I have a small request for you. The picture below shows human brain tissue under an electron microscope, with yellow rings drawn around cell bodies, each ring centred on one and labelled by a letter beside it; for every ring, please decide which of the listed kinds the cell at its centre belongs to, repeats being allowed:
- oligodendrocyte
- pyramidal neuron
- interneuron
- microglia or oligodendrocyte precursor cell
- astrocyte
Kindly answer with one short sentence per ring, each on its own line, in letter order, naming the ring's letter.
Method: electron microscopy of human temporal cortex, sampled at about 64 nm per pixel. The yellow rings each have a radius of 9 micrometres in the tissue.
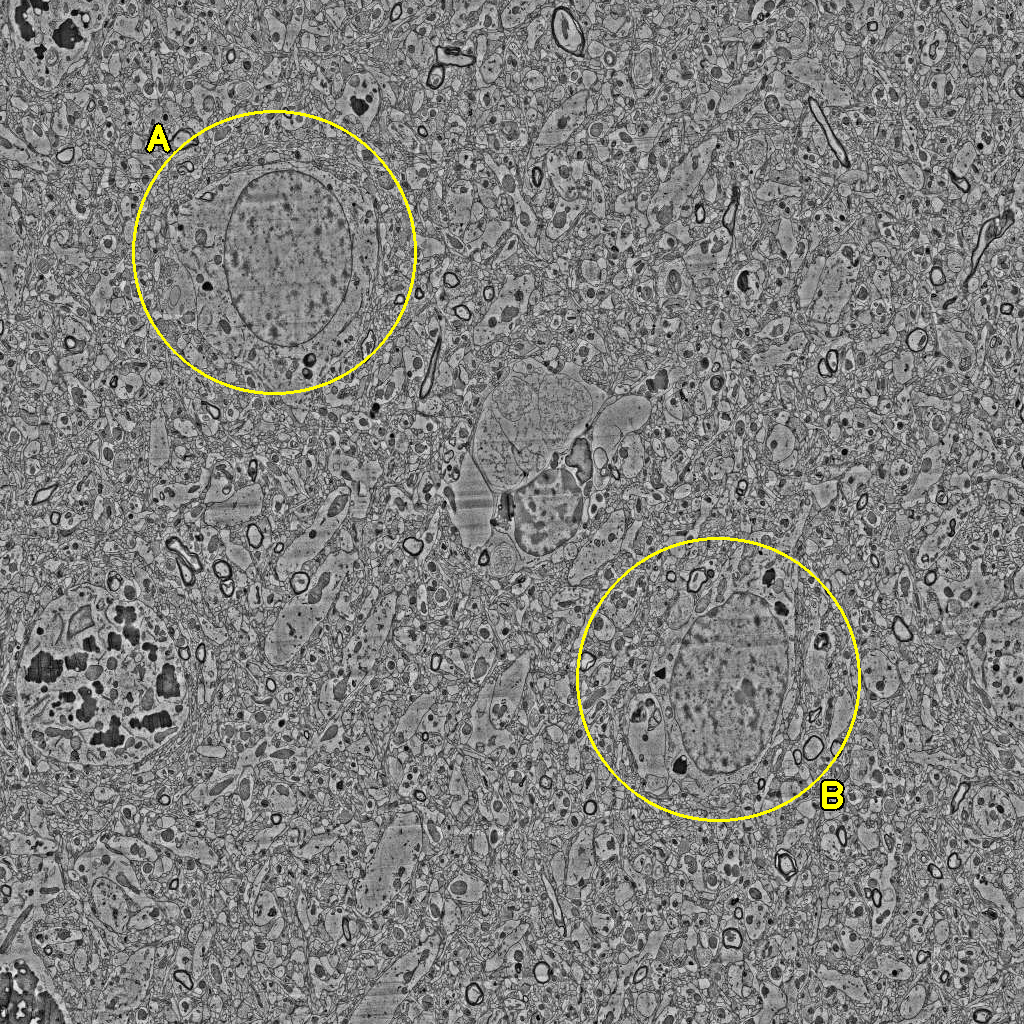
Ring A shows a pyramidal neuron at its centre.
Ring B shows an interneuron at its centre.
